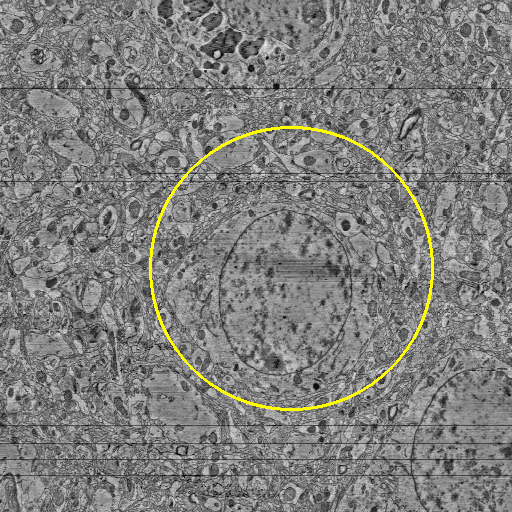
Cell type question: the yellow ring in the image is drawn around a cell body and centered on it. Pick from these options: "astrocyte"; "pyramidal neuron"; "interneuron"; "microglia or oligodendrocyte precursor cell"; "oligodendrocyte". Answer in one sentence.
The ringed cell at the center is a pyramidal neuron.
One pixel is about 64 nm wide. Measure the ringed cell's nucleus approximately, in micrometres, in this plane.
The nucleus has a long axis of about 11 micrometres and a short axis of about 8 micrometres in this plane.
